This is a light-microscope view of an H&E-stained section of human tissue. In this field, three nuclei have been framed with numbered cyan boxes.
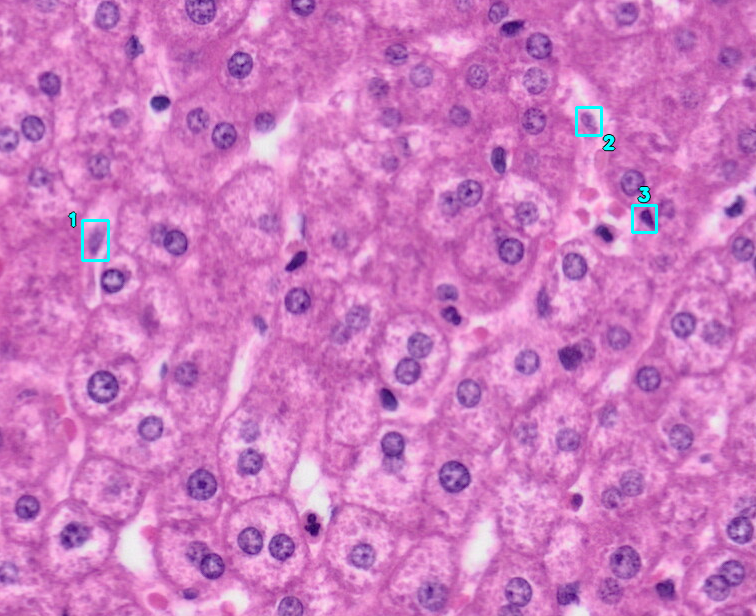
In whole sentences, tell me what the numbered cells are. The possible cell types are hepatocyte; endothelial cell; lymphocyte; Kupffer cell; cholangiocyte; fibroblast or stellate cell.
Cells 1 and 2 are Kupffer cells. Cell 3 is a fibroblast or stellate cell.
